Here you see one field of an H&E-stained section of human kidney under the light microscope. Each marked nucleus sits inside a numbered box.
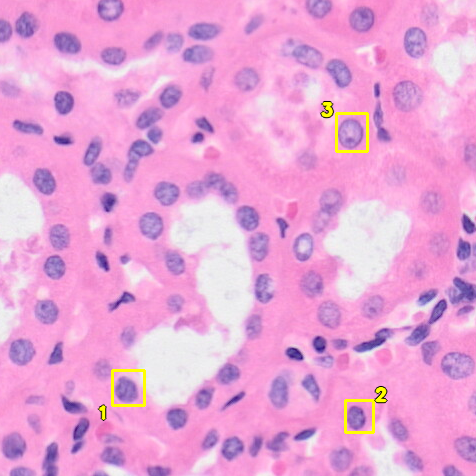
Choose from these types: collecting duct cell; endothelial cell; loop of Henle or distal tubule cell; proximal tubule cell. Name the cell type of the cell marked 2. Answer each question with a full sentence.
The cell marked with the number 2 is a loop of Henle or distal tubule cell.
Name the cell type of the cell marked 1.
The numbered cell 1 in this field is a loop of Henle or distal tubule cell.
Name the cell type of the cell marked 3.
In the marked set, the cell given number 3 is a proximal tubule cell.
